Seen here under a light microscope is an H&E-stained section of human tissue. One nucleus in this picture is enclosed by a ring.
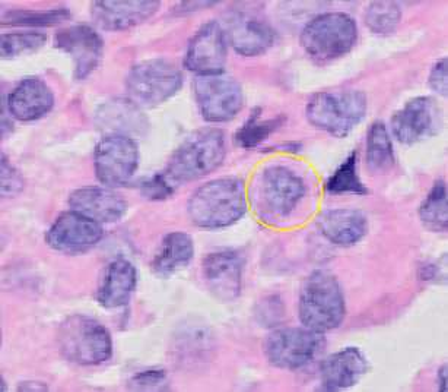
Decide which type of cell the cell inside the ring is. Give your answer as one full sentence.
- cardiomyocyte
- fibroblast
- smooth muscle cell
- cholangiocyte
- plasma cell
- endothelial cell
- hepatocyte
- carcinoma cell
With respect to cell type, the cell inside the ring is a carcinoma cell.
